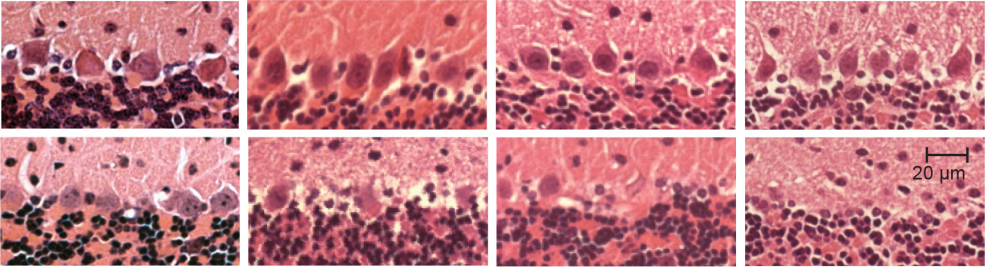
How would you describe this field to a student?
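These are sections of cerebellar cortex showing a single row of large Purkinje cells. The row lies between the pale, finely fibrillar molecular layer above and the granular layer below, which is packed with small, dark, round nuclei. In the lower row, such cells are present in the first image but become sparse and then almost absent in the later images, leaving the molecular layer sitting directly on the granular layer.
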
